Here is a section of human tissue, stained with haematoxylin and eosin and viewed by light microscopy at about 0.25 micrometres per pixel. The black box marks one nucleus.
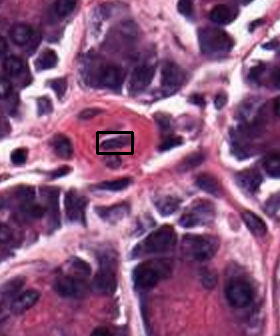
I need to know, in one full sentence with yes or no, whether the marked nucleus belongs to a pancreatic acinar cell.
No, instead of a pancreatic acinar cell, a supporting cell is what the marked nucleus belongs to.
